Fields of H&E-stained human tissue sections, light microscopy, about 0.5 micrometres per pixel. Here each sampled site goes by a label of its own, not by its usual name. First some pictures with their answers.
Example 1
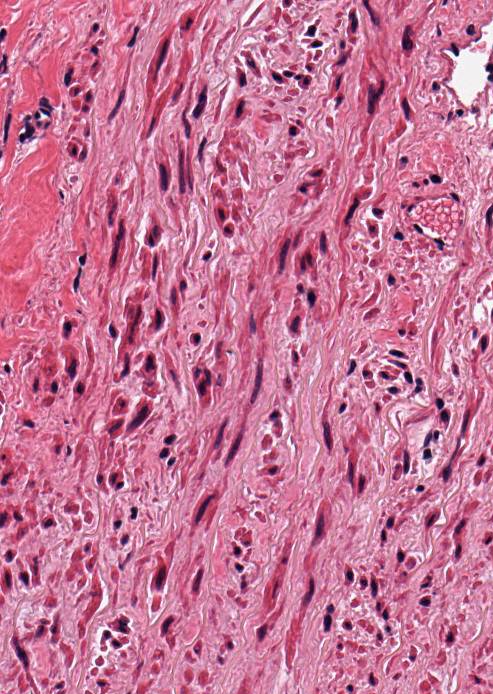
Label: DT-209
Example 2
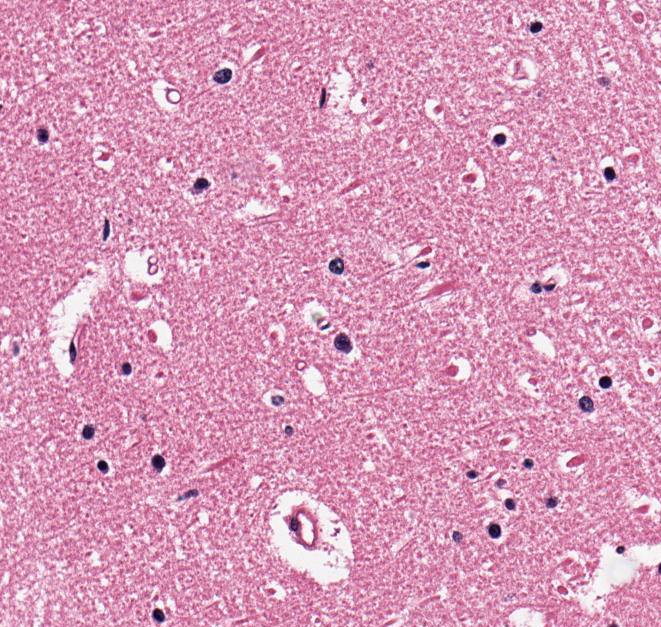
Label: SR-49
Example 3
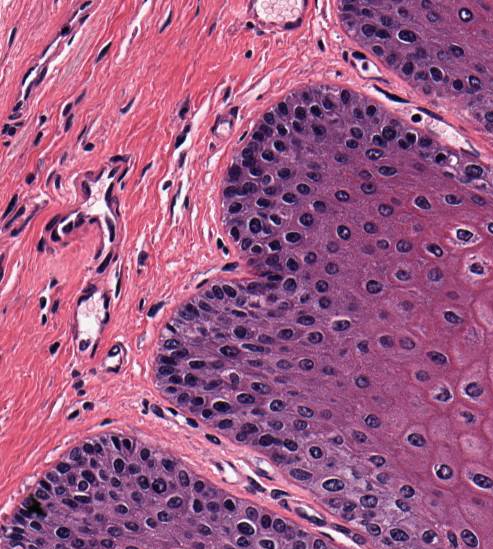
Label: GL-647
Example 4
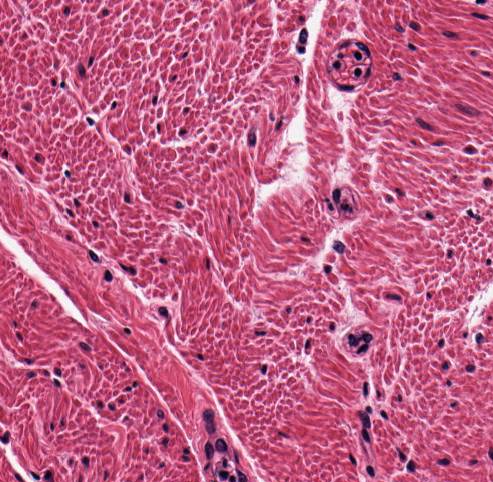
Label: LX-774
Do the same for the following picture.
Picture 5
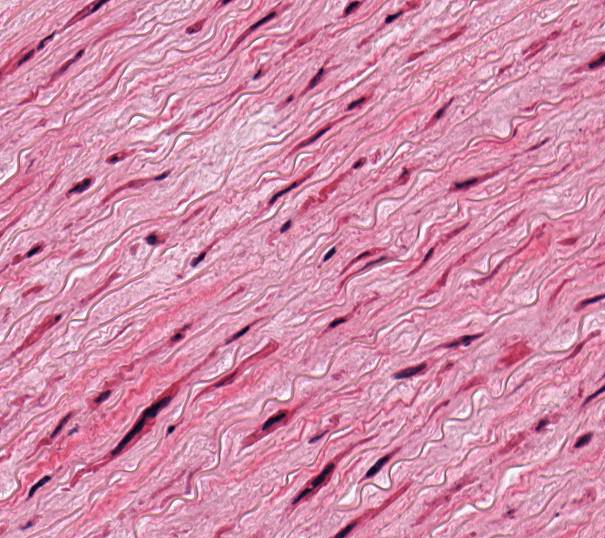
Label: DT-209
